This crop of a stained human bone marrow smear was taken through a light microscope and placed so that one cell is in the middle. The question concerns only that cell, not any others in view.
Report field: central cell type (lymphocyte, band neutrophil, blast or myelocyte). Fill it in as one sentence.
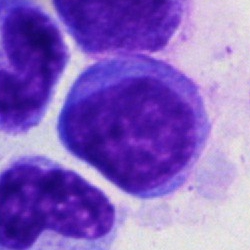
Looking at the middle of the crop, the cell there is a blast.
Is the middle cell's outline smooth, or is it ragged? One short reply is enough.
No surface projections are present; the cell outline is smooth.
